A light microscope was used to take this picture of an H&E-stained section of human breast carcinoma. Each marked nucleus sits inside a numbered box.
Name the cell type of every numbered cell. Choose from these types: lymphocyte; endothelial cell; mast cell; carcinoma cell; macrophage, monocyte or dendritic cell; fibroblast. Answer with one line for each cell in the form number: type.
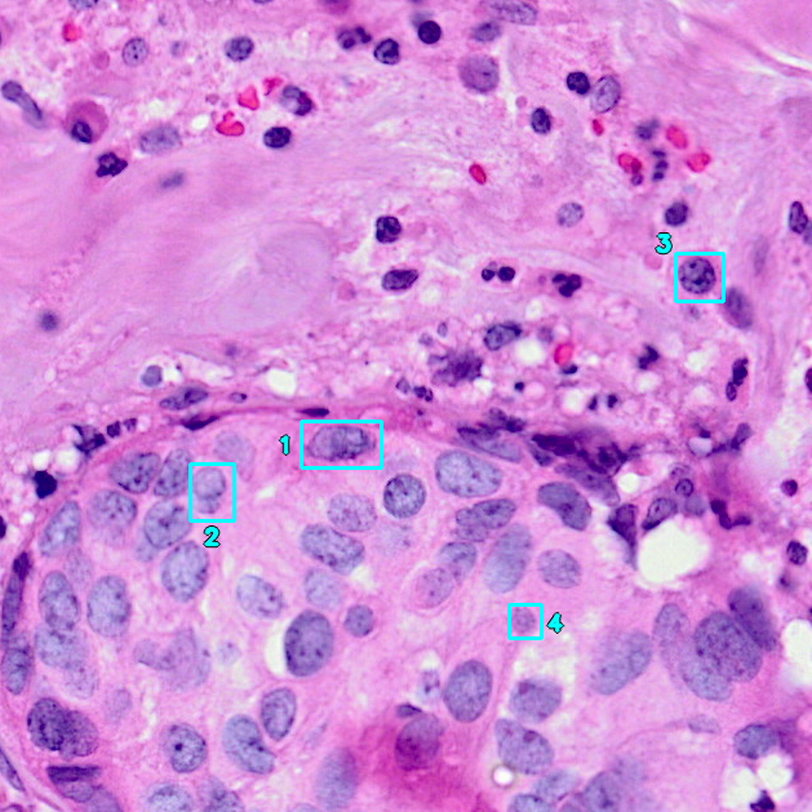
1: carcinoma cell
2: carcinoma cell
3: mast cell
4: carcinoma cell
